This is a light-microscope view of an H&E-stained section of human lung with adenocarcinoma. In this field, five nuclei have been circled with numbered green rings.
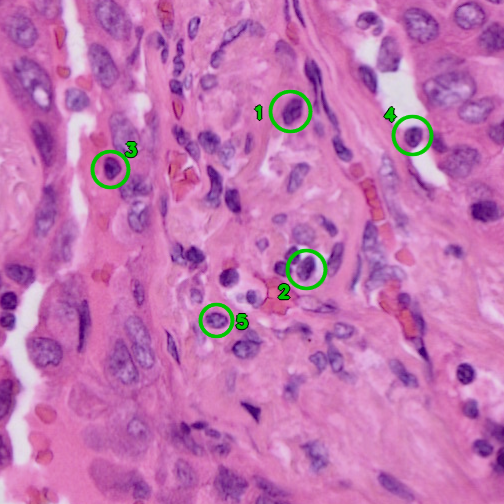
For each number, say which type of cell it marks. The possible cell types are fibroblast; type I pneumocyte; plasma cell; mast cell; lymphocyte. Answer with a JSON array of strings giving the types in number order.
["plasma cell", "lymphocyte", "lymphocyte", "lymphocyte", "mast cell"]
